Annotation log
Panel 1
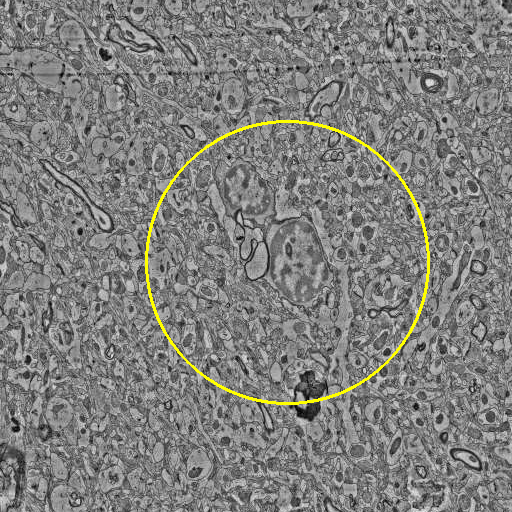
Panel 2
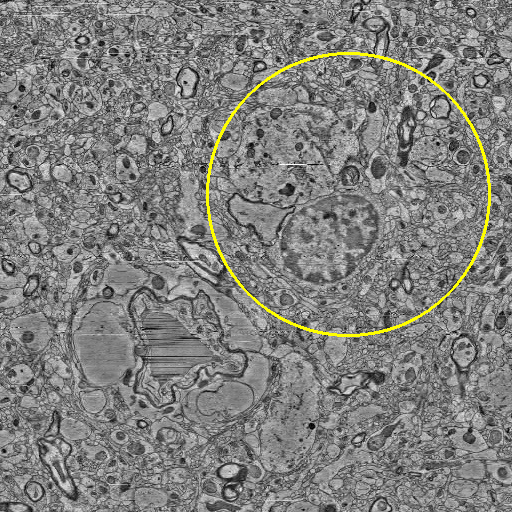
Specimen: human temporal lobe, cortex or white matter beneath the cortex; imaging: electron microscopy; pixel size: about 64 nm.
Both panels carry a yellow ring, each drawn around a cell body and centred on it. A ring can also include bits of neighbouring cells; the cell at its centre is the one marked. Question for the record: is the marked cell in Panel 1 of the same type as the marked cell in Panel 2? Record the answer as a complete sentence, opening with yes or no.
Yes, the marked cells in Panel 1 and Panel 2 are of the same type.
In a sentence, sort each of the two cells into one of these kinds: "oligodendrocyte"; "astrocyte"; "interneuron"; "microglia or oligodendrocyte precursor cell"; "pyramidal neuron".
The second cell is an oligodendrocyte, just as the first is.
